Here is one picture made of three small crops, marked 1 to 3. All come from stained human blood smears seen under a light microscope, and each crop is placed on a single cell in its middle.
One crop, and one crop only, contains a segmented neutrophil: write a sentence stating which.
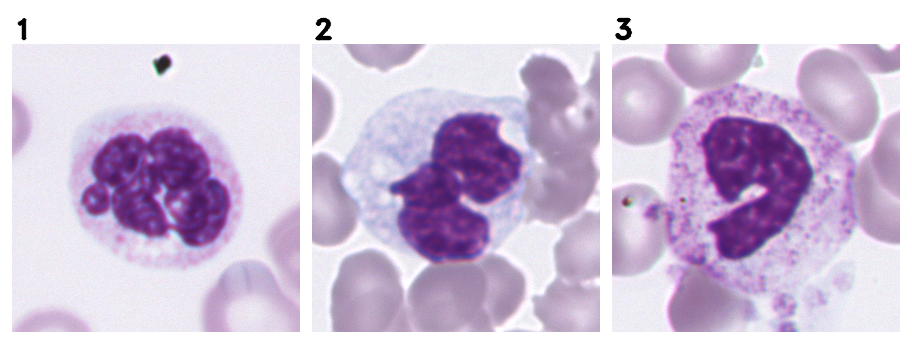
The one that shows a segmented neutrophil is crop 1.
